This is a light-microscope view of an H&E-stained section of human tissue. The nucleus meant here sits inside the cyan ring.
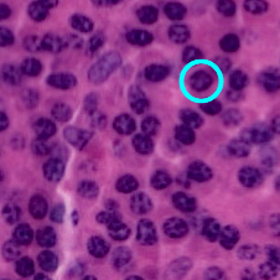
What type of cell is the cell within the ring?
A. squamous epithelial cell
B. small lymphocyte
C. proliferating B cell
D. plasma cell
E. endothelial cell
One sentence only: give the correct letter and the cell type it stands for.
The correct pick is option D; the cell within the ring is a plasma cell.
